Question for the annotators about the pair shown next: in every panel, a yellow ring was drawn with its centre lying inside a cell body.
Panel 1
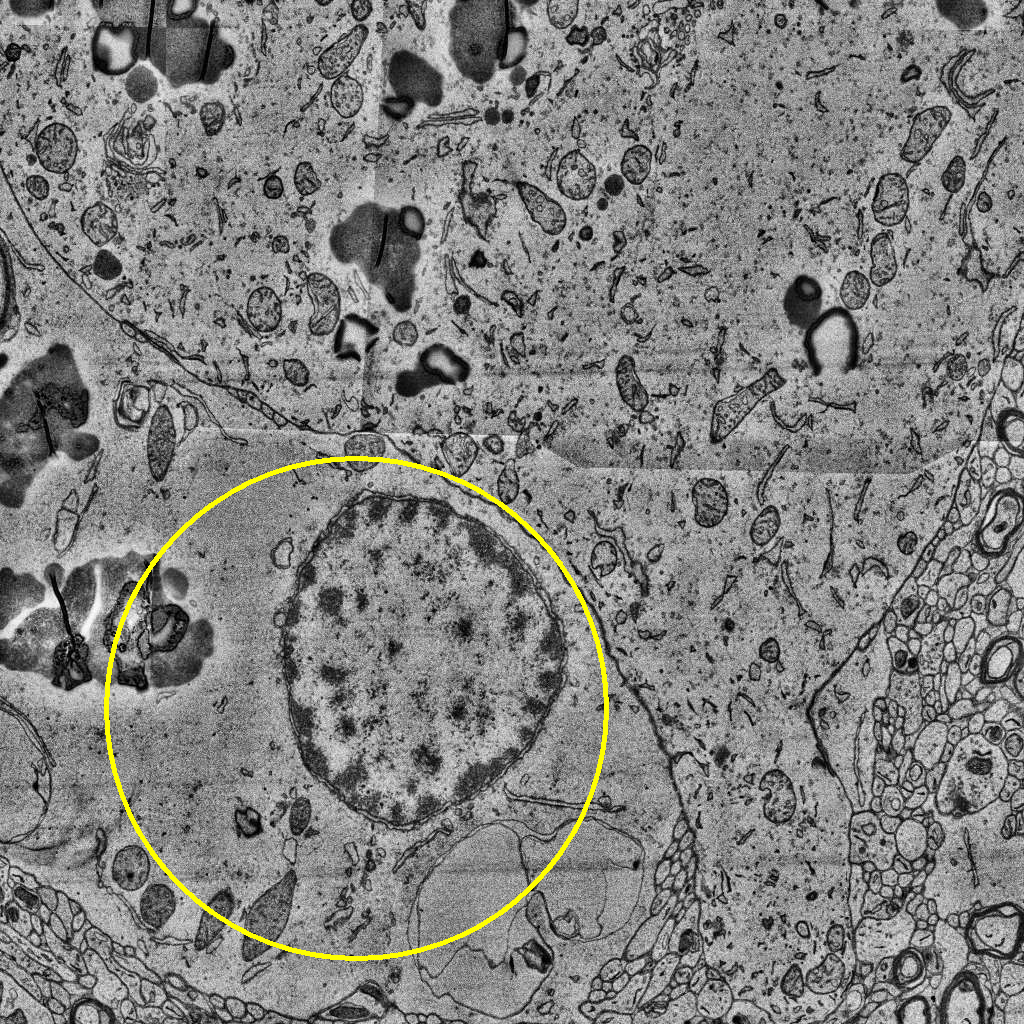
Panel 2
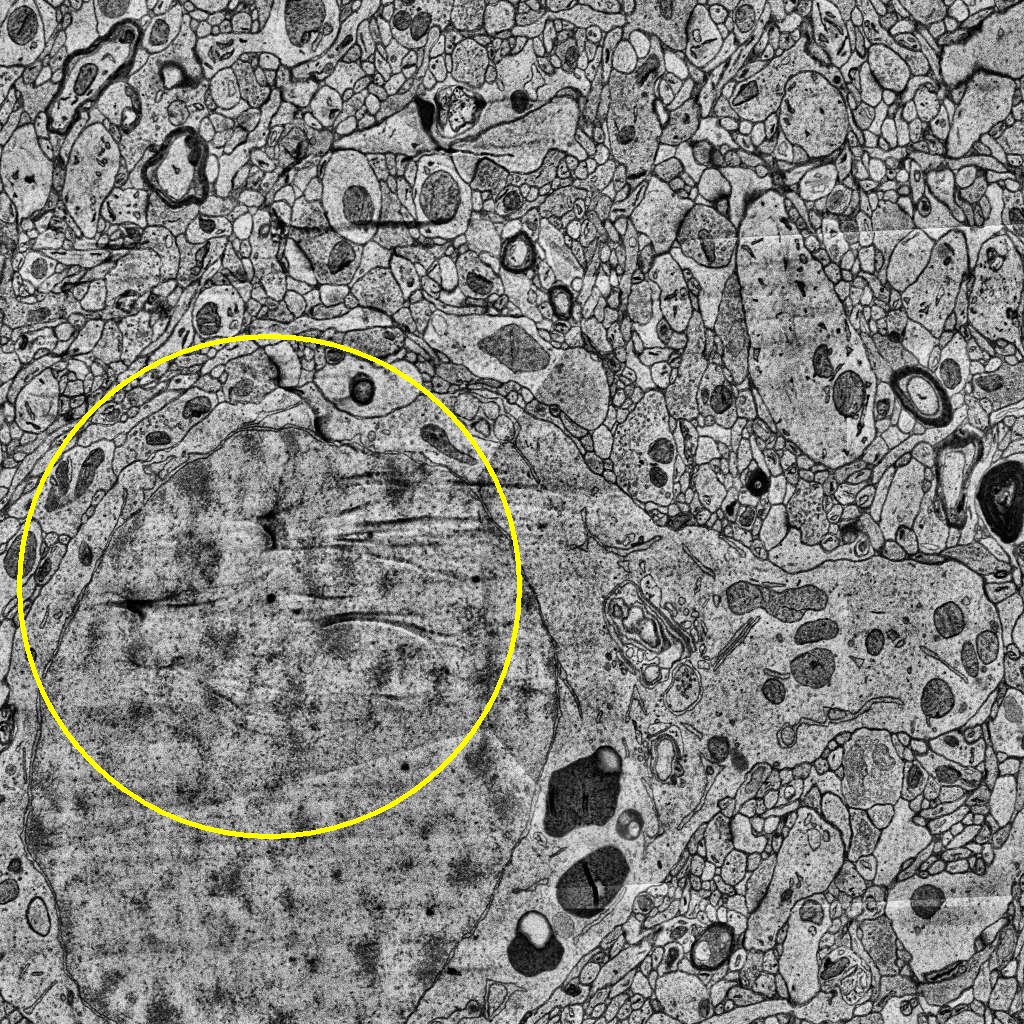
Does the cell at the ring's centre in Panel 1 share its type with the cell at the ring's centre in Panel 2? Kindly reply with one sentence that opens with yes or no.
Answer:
No, in Panels 1 and 2 the cells at the ring centres belong to separate types.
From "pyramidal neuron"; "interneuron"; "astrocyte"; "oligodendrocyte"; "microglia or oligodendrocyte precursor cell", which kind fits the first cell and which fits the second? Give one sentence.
The second cell is an interneuron, and the first cell is an astrocyte.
